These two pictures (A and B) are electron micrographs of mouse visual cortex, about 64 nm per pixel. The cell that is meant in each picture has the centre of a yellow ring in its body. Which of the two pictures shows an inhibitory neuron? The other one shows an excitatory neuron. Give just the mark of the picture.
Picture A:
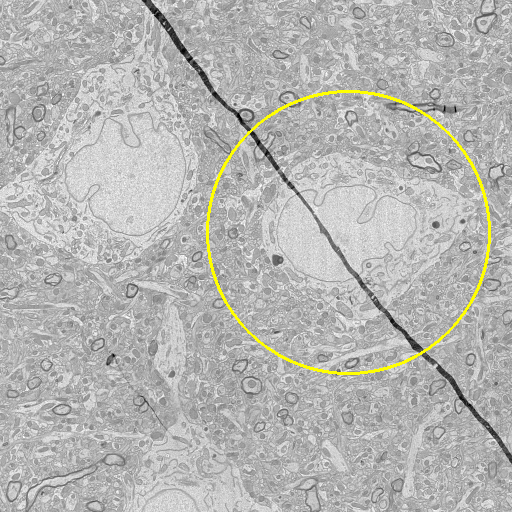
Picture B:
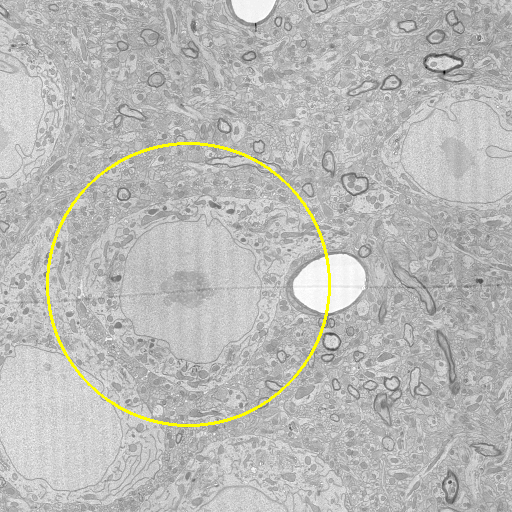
B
